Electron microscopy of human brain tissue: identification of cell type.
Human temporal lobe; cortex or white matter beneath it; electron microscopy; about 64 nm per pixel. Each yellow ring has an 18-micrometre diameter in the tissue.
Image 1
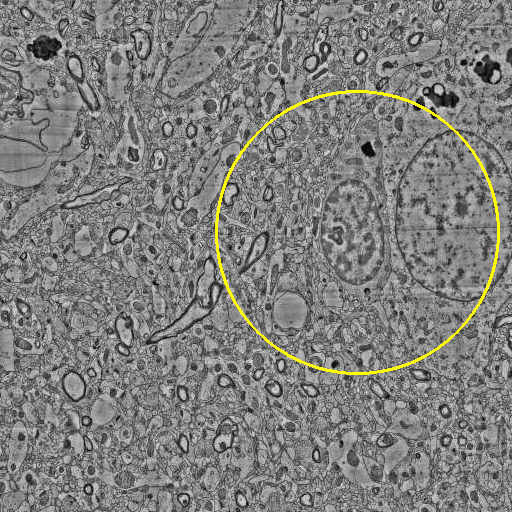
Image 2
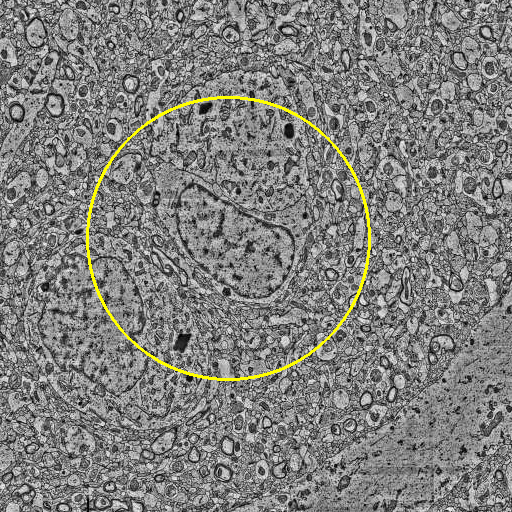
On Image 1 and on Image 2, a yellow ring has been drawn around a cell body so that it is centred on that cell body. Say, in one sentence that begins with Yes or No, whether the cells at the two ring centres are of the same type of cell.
No, the two cells are two separate types of cell.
